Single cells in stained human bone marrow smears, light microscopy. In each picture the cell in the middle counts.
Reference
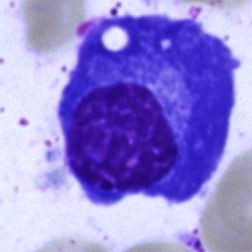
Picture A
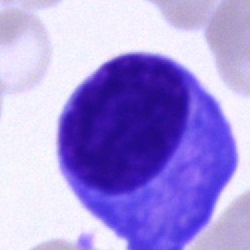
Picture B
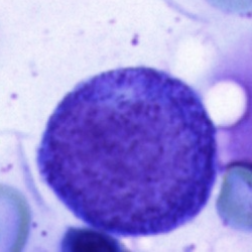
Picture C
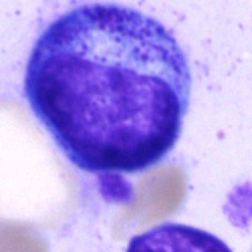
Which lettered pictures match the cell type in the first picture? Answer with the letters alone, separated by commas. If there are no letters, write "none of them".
A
